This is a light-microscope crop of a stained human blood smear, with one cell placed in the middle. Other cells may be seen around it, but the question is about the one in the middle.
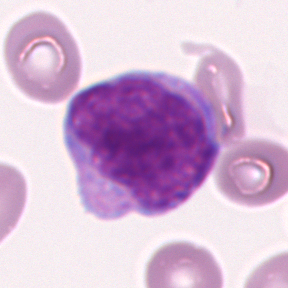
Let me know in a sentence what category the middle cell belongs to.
The cell at the heart of this crop is an atypical promyelocyte.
